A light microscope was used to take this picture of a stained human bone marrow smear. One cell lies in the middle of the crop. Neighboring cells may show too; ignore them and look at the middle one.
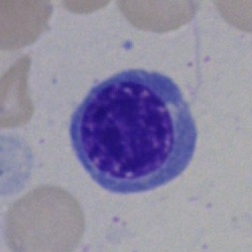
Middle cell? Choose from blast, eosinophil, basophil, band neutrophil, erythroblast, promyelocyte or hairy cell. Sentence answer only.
The central cell shown in this smear crop is an erythroblast.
